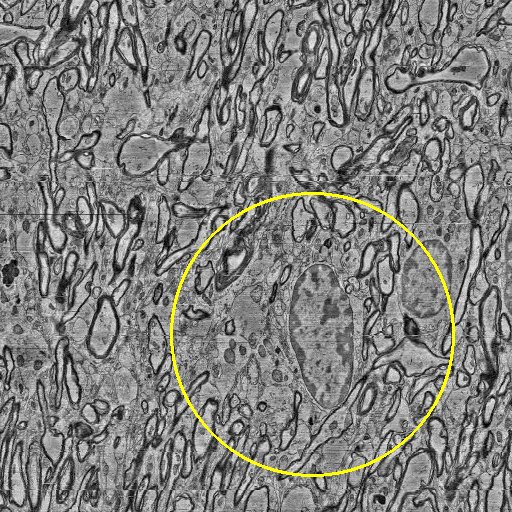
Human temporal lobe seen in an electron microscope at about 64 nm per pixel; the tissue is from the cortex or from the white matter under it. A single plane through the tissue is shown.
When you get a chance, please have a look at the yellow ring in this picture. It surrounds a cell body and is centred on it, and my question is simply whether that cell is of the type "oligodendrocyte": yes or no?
No, the cell is of another type.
